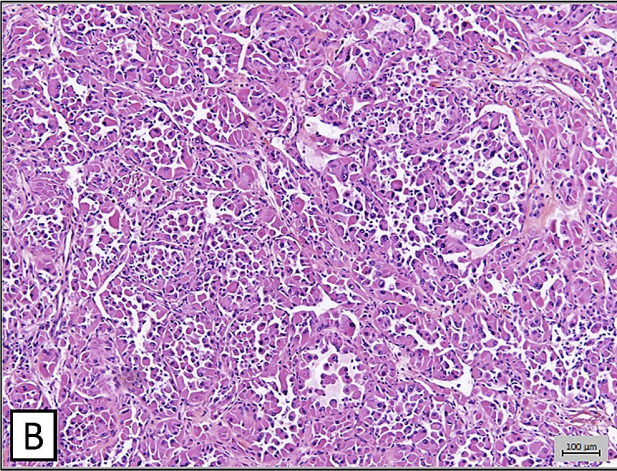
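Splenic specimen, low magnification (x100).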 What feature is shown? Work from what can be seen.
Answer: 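Tumour cells form nests separated by thin fibrovascular septa. Some nests have loosened, discohesive centres giving an alveolus-like look.
Answer: pseudo-alveolar architecture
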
